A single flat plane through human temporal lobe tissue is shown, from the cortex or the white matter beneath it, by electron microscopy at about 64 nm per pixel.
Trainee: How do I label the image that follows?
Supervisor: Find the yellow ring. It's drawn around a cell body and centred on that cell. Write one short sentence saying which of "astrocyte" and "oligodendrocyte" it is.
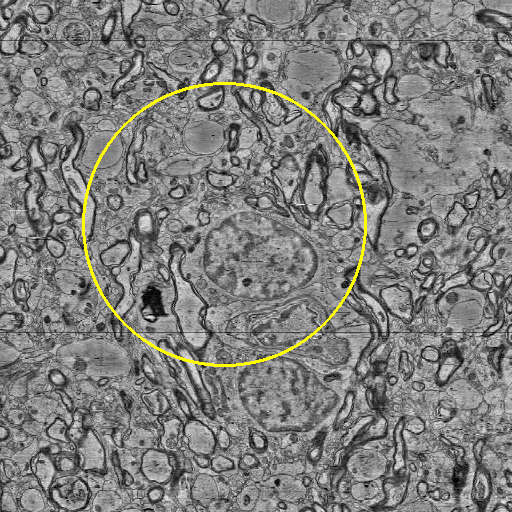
This is the cell body of an oligodendrocyte.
